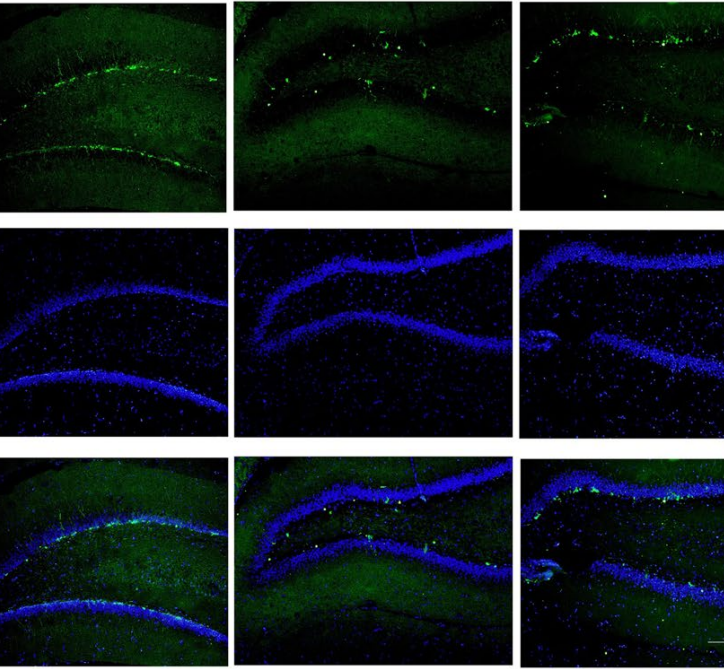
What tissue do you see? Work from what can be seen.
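Dentate gyrus. Two long curved bands of densely packed blue nuclei run roughly parallel, like two blades. Between and around the bands, nuclei are sparse and scattered.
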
